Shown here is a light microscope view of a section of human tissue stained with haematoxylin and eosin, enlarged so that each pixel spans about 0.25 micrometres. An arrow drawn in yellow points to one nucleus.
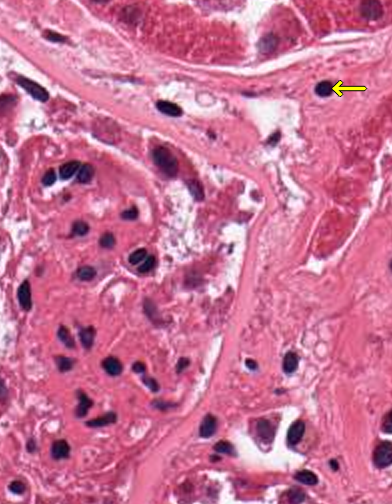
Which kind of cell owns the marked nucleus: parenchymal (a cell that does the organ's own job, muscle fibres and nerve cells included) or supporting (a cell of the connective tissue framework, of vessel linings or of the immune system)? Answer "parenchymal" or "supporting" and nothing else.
supporting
